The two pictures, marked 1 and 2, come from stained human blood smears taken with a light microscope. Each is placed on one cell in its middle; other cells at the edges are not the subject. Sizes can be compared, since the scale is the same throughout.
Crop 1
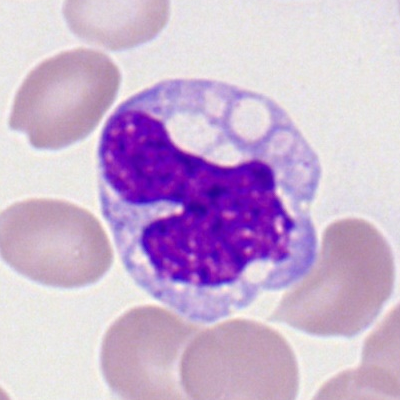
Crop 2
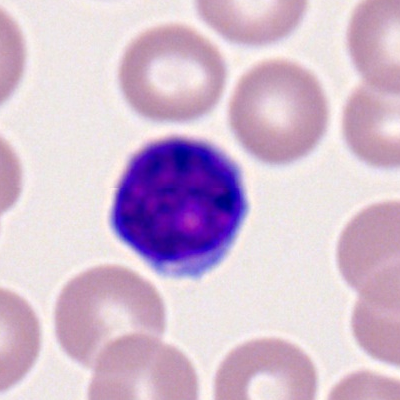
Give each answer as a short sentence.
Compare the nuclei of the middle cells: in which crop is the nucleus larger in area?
Crop 1 shows the larger nucleus; it covers about 1.5 times the area of the nucleus in crop 2.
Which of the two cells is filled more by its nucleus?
It is the cell in crop 2 that is filled more by its nucleus.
